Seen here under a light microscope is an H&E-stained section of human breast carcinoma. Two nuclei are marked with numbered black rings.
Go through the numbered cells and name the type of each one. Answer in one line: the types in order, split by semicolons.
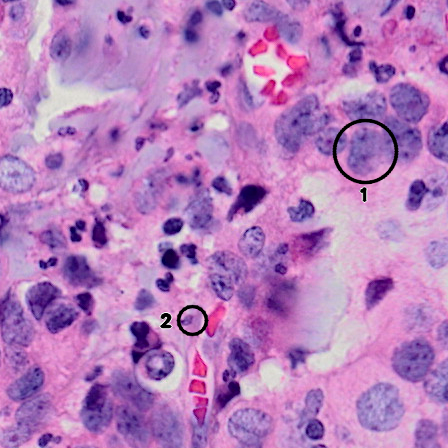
carcinoma cell; endothelial cell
